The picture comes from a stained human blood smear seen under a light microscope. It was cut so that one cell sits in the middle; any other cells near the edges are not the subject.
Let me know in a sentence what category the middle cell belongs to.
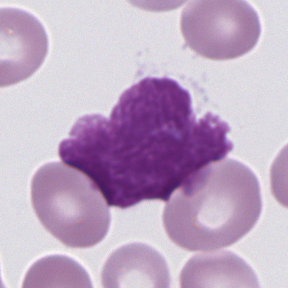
The central cell in this smear crop is a smudge cell.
